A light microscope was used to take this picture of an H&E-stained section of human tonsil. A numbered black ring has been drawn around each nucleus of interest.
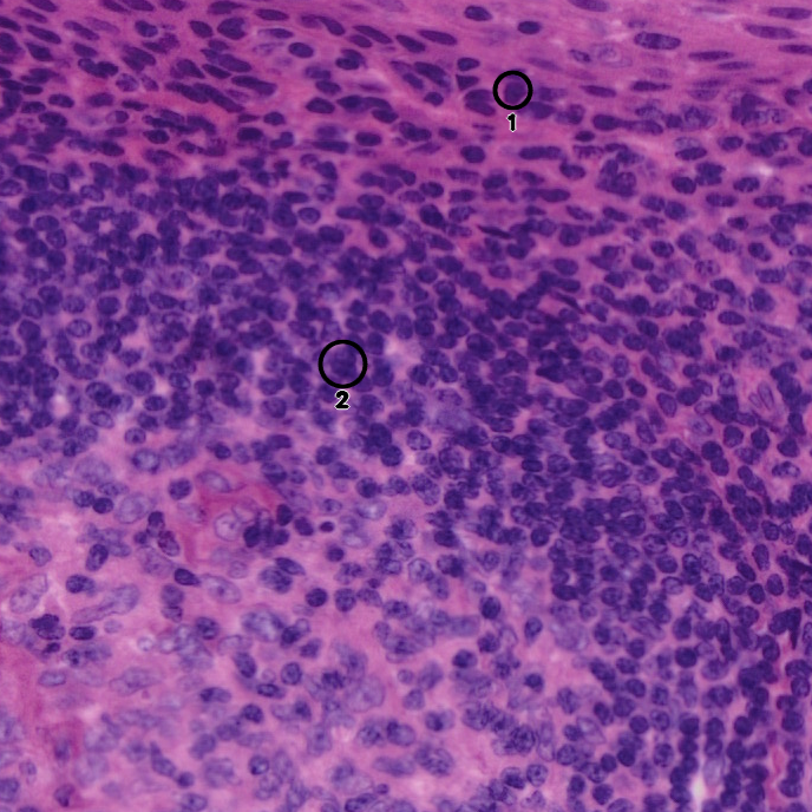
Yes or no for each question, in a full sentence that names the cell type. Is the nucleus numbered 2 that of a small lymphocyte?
Yes, the marked cell number 2 is a small lymphocyte.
